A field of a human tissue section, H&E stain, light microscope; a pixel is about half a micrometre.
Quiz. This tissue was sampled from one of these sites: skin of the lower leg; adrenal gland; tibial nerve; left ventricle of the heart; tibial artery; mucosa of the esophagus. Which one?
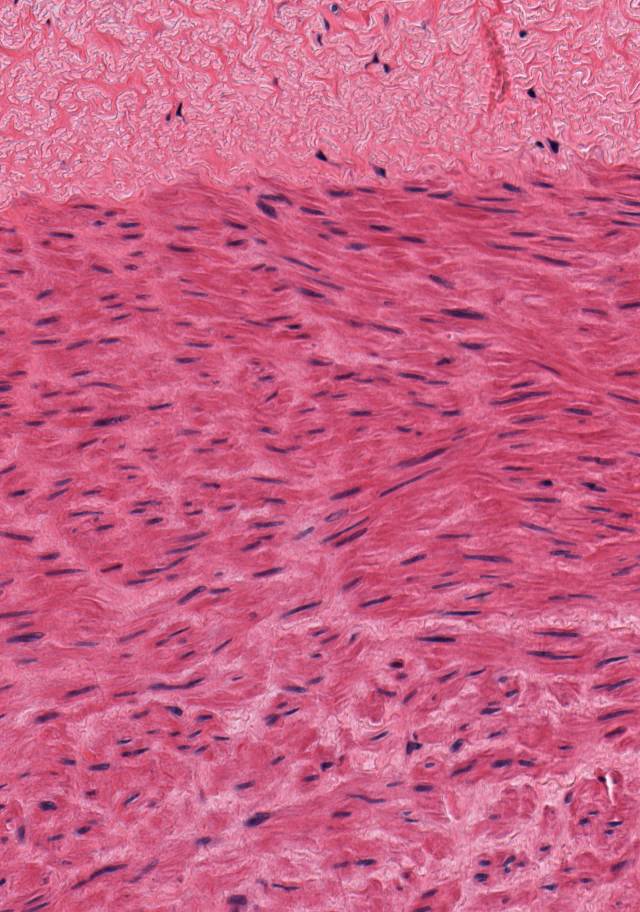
tibial artery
